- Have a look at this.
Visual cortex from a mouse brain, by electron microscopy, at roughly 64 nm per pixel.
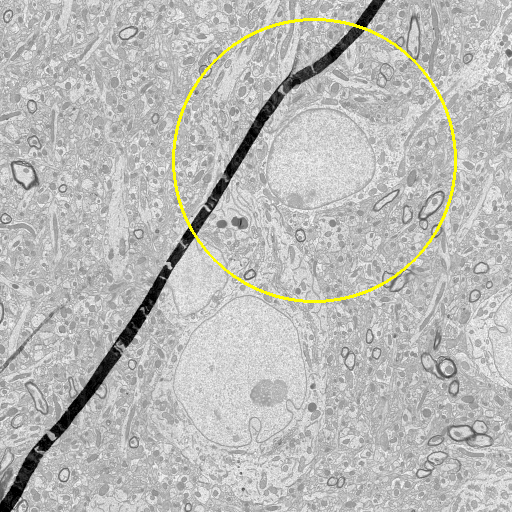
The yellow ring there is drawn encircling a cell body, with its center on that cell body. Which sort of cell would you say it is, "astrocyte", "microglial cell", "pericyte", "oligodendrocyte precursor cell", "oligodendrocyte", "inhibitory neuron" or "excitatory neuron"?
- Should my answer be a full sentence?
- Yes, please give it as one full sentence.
For this picture, an astrocyte is the cell where the yellow ring has its center.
